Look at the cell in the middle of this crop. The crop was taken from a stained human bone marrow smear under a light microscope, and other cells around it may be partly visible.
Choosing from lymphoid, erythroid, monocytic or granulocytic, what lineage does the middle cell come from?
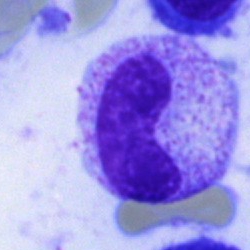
granulocytic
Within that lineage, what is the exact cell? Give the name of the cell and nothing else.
band neutrophil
